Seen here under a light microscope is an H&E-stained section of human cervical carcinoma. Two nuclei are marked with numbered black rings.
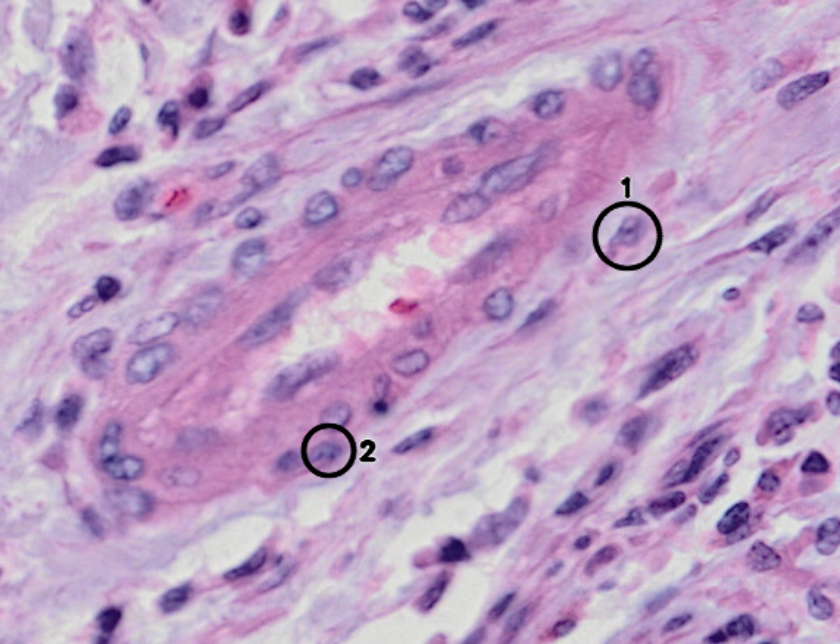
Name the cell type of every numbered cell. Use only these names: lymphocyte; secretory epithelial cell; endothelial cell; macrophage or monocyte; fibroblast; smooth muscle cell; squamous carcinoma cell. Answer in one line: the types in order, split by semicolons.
macrophage or monocyte; smooth muscle cell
